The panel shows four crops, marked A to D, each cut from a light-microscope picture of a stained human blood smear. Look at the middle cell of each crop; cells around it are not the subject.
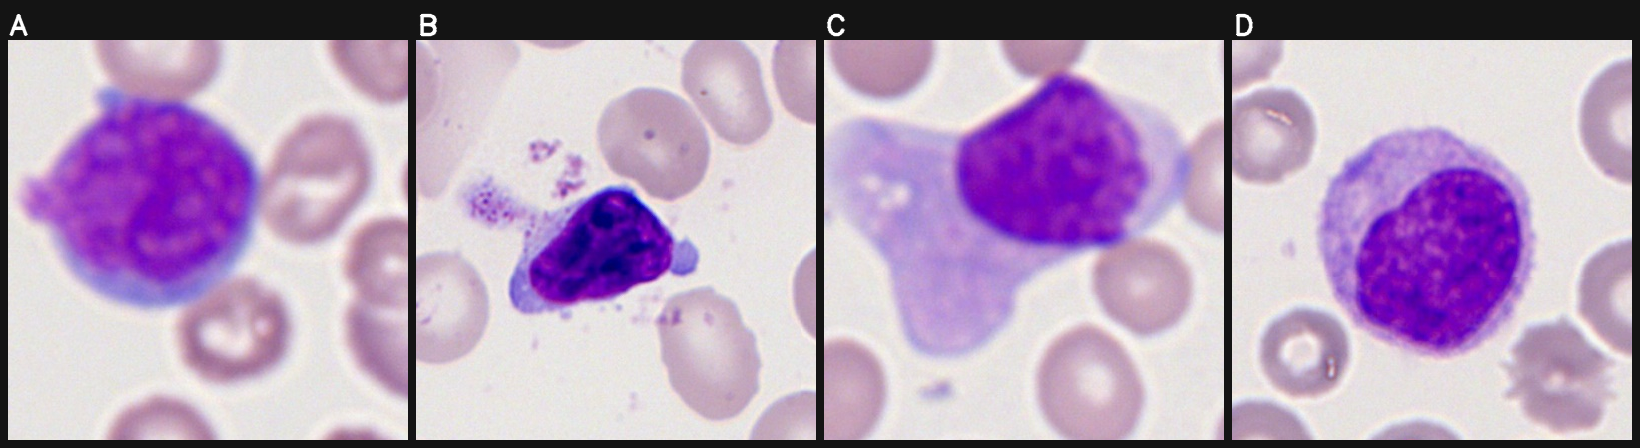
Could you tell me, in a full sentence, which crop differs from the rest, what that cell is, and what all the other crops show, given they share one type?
Crop B breaks the pattern as a lymphocyte; the other crops all contain monocytes.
